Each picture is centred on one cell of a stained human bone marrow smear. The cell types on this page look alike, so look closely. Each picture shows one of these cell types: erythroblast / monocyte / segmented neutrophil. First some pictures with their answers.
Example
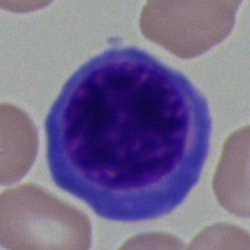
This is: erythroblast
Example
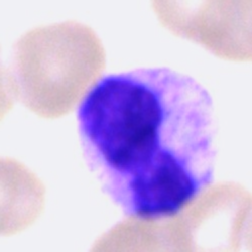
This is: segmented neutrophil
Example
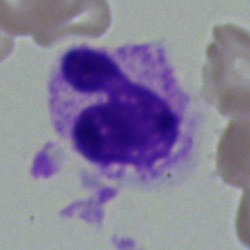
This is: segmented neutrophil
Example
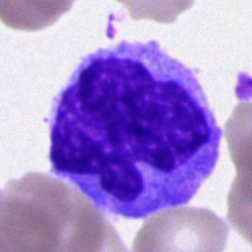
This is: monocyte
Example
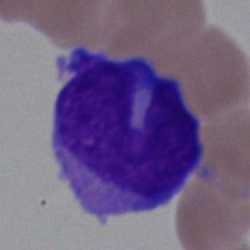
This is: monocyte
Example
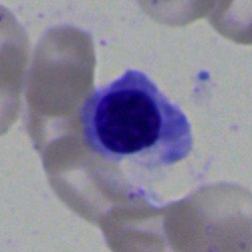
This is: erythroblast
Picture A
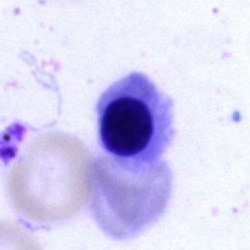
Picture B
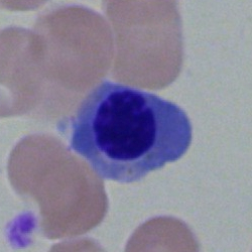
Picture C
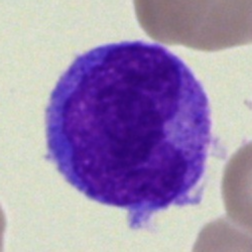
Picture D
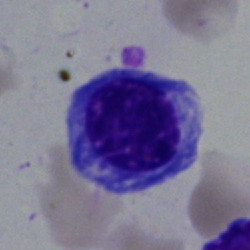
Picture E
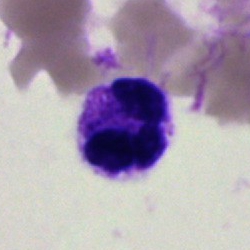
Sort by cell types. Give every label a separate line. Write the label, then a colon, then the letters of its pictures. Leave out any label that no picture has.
erythroblast: A, B, D
monocyte: C
segmented neutrophil: E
